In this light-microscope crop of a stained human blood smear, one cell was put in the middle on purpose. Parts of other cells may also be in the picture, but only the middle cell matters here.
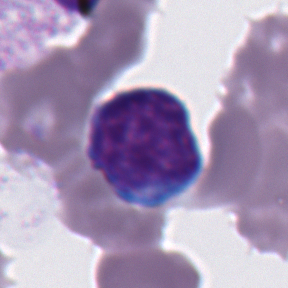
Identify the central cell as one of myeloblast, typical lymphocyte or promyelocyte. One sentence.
The middle cell in this particular crop is a typical lymphocyte.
